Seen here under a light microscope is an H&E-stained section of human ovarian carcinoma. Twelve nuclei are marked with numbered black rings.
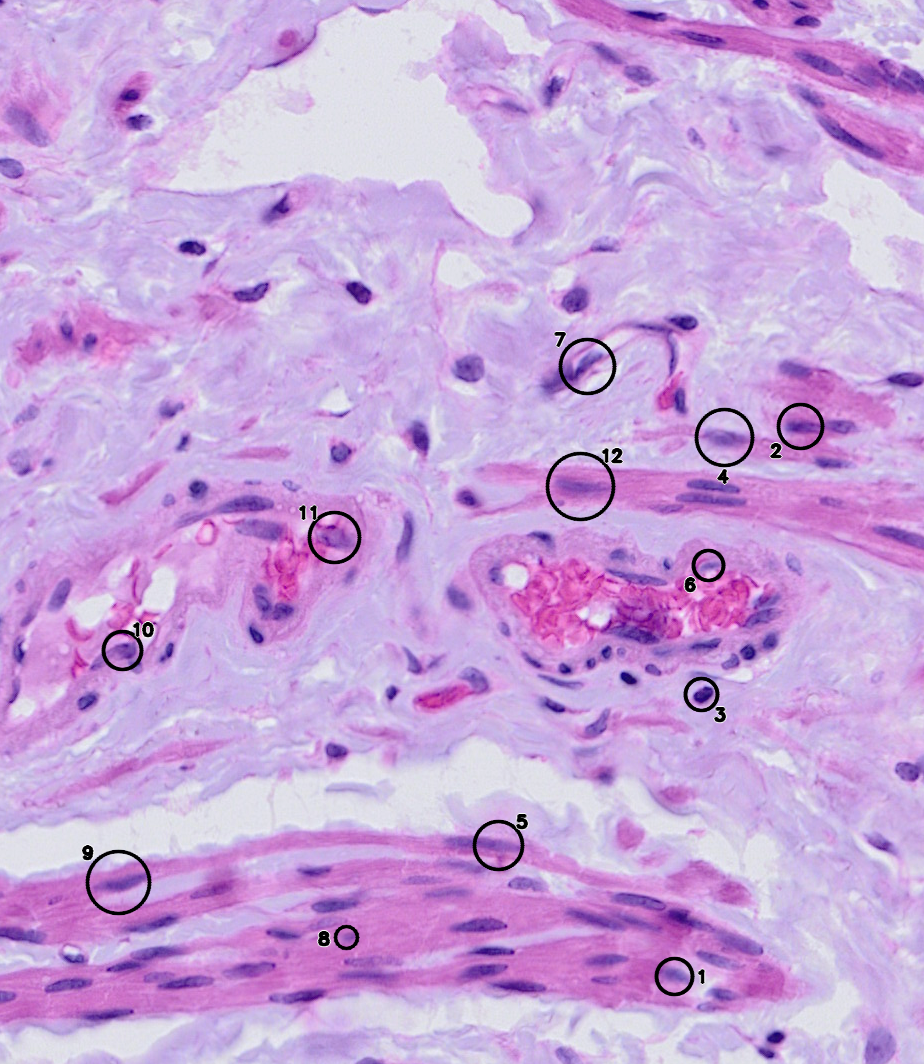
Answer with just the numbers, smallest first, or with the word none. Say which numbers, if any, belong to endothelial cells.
6, 7, 10, 11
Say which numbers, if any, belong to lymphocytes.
3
